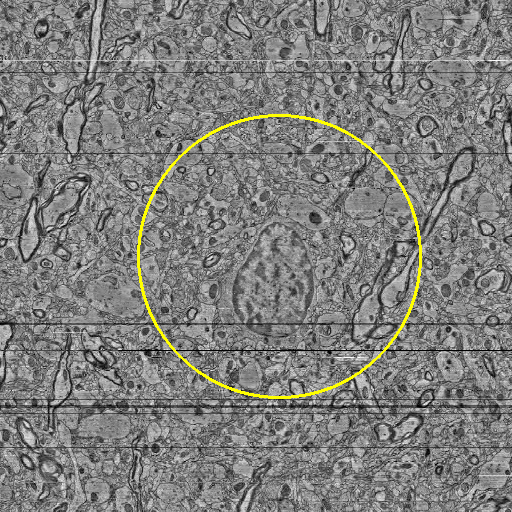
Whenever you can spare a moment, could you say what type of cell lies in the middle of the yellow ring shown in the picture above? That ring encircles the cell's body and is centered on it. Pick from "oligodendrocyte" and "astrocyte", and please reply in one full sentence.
The cell whose body sits at the middle of the yellow ring is an oligodendrocyte.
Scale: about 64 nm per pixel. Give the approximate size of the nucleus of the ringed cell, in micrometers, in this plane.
Approximately 8 micrometres long and 5 micrometres wide, so clearly longer than it is wide in this plane.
